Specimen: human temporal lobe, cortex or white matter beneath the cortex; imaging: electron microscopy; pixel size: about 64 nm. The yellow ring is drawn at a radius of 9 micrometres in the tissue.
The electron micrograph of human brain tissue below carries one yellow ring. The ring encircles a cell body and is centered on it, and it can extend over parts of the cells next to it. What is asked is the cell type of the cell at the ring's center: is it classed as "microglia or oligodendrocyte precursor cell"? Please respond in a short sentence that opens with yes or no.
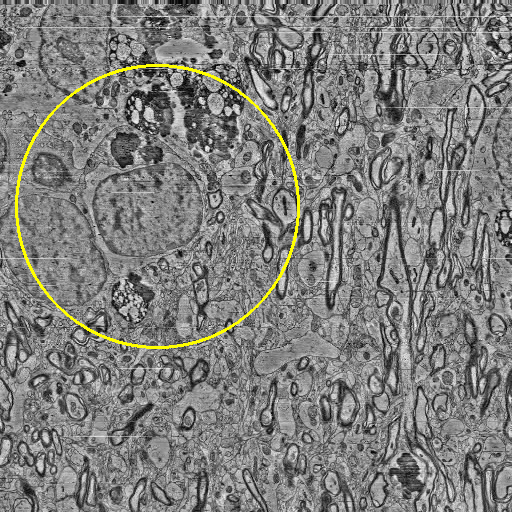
Yes, it is classed that way.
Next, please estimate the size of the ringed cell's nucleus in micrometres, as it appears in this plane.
Roughly 7 micrometers across, in this plane.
